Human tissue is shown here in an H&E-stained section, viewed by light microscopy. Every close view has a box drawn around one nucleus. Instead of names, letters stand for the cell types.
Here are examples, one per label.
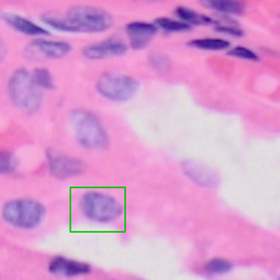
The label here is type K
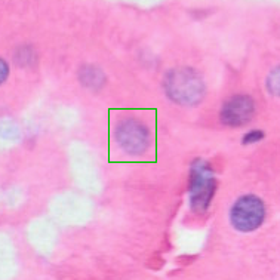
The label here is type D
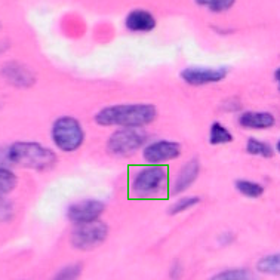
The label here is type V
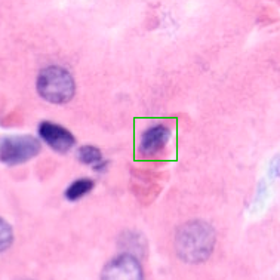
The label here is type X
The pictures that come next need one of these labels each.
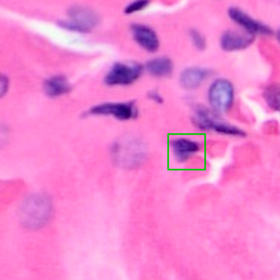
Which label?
type X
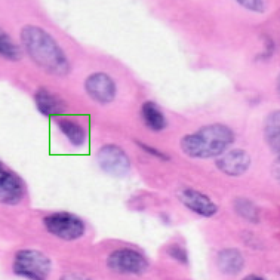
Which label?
type K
